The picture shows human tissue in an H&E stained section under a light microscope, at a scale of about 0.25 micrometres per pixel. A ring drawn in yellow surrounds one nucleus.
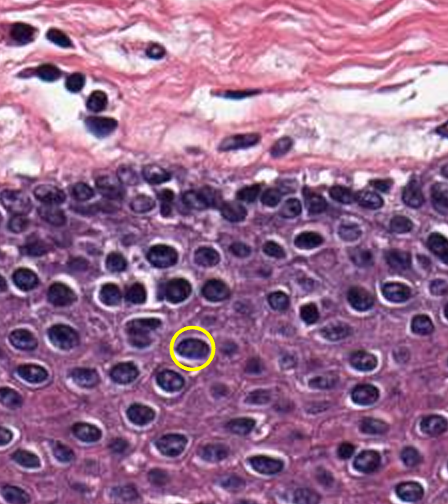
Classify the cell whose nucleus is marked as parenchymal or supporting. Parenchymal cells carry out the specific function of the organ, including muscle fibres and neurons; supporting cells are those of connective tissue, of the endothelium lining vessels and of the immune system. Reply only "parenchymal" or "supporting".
parenchymal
